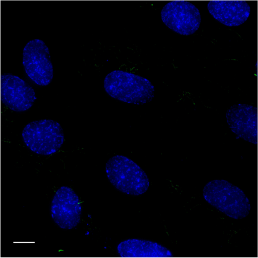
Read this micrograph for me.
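Oval blue nuclei of cultured cells are scattered across a dark field, some lying close together. Near several nuclei there are tiny green lines or dots, short and faint. Not every nucleus has a clear green line beside it.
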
